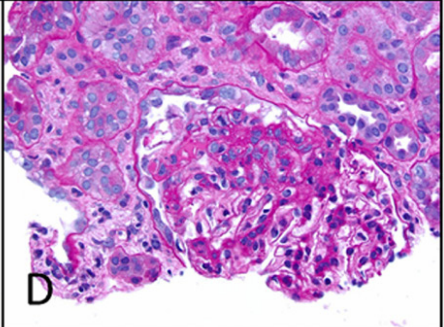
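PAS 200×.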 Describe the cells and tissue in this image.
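This is a glomerulus cut at the edge of a kidney section, surrounded by tubules, with an area of segmental sclerosis. Basement membranes throughout are outlined in magenta. Within the tuft one region shows thickened, crowded magenta material with loops that are no longer open, while other parts keep delicate open capillary loops. The surrounding tubules have pale cytoplasm, round blue nuclei and thin magenta basement membranes.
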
